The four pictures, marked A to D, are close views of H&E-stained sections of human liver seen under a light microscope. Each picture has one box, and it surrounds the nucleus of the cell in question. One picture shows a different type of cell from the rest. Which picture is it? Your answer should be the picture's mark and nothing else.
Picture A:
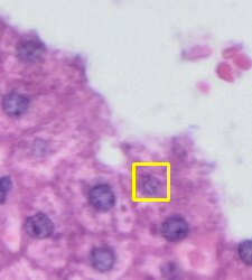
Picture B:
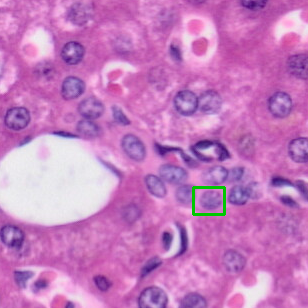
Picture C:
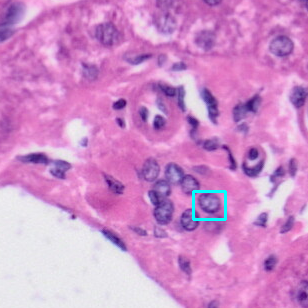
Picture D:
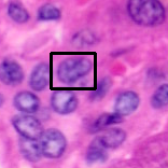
A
